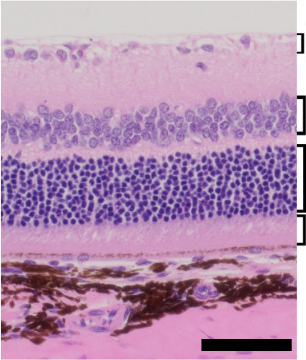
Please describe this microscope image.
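Here is a hematoxylin and eosin section of retina showing the usual layering but somewhat thinner outer layers. A sparse row of nuclei lies at the inner surface above a pale pink plexiform band. Beneath it the inner nuclear layer forms a band of rounded, paler purple nuclei, and below a thin pink band comes the outer nuclear layer of densely packed dark nuclei. The photoreceptor layer under it is a narrow pink band rather than a tall striated one, and at the bottom a layer of brown pigment granules marks the pigmented layers beneath the retina.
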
